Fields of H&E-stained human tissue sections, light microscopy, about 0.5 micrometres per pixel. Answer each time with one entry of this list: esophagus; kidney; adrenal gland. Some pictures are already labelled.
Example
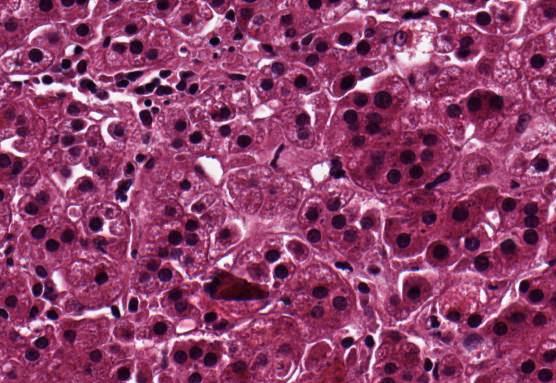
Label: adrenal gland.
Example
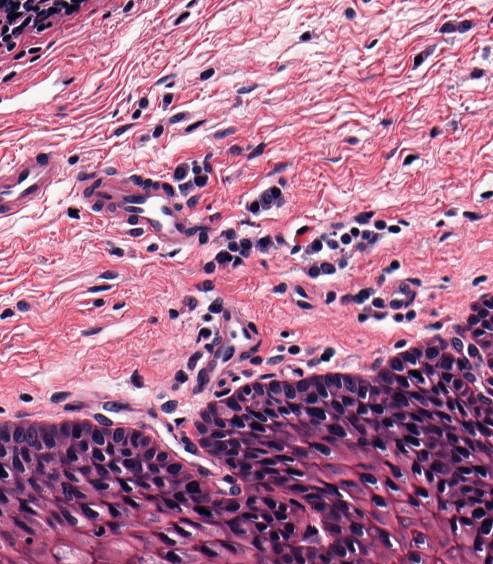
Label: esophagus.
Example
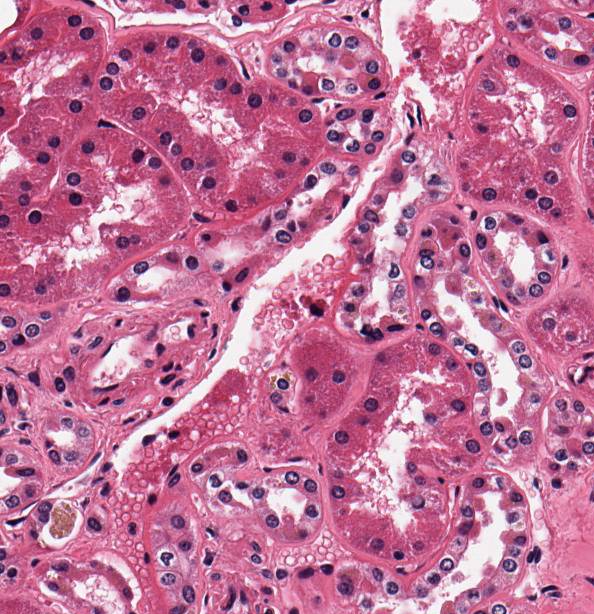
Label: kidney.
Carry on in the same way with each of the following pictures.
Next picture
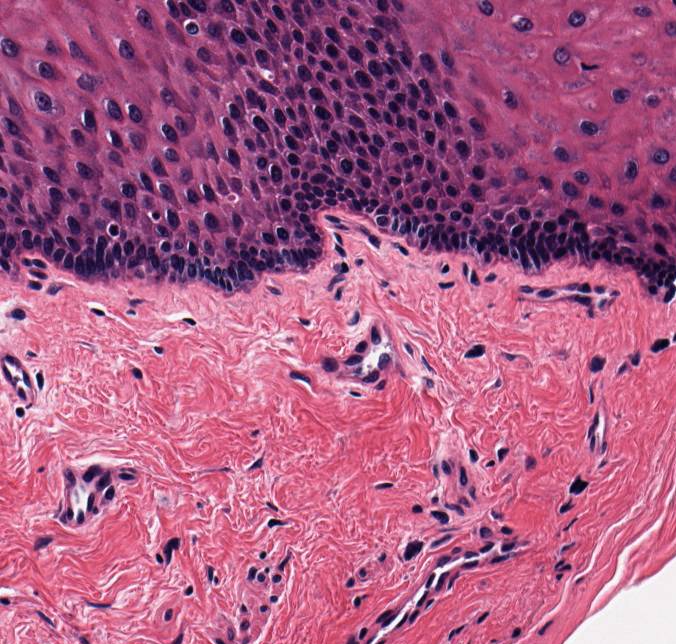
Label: esophagus.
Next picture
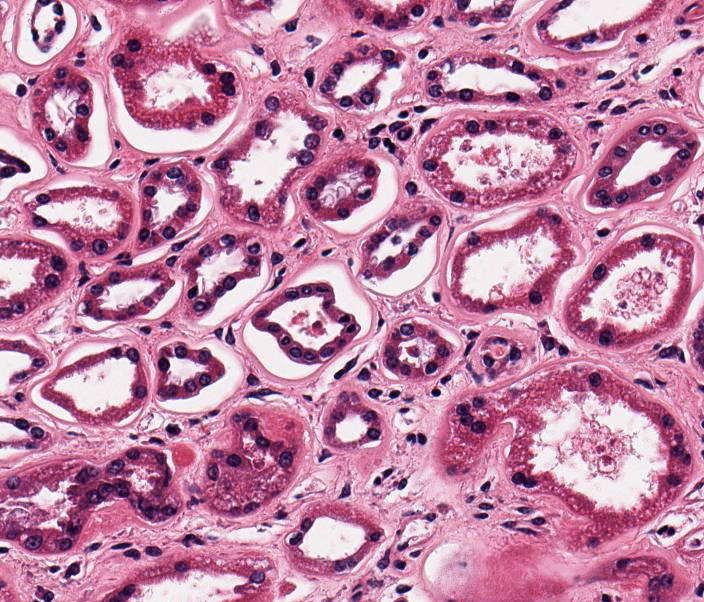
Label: kidney.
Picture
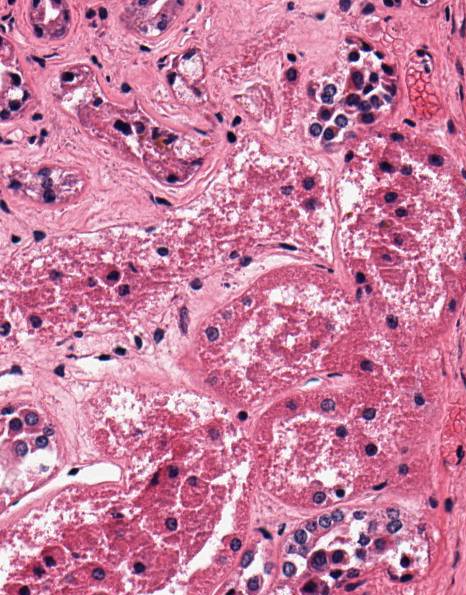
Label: kidney.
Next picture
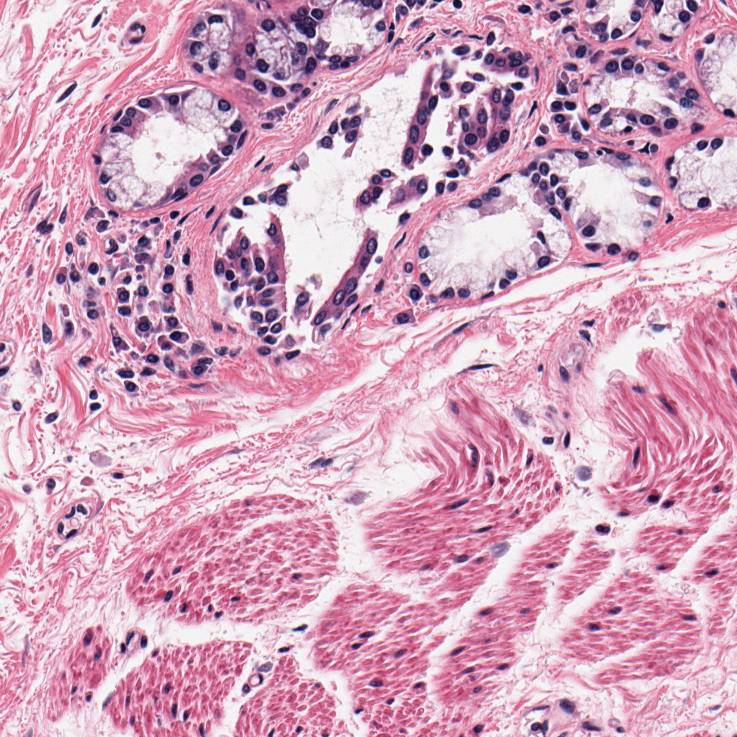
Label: esophagus.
